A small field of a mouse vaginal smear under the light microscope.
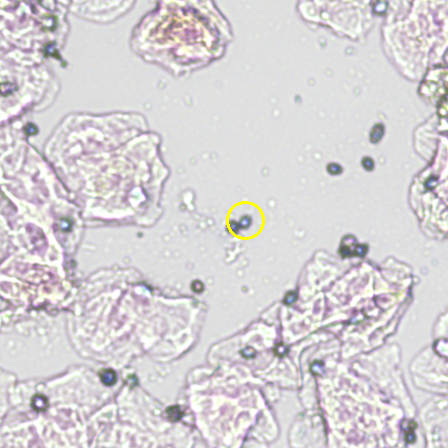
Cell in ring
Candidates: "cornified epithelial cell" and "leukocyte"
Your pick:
leukocyte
